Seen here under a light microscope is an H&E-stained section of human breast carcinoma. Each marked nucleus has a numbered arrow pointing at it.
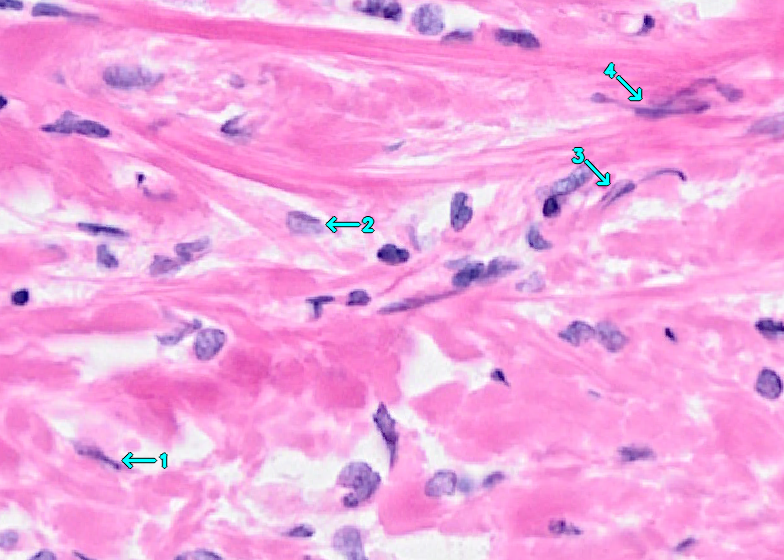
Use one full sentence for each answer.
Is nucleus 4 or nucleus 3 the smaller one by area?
Number 3 is smaller, since number 4 takes up about 2.5 times as much area.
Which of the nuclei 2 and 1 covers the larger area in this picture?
At about 3 times the area of nucleus 1, nucleus 2 is the larger of the two.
